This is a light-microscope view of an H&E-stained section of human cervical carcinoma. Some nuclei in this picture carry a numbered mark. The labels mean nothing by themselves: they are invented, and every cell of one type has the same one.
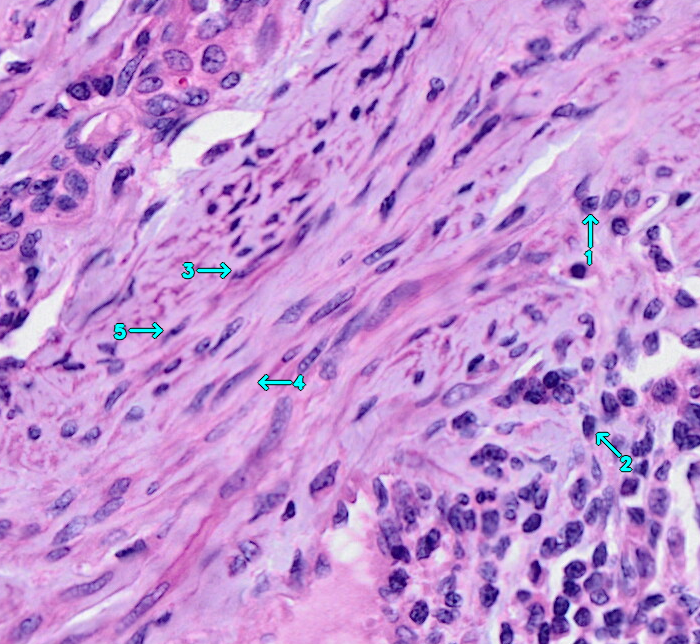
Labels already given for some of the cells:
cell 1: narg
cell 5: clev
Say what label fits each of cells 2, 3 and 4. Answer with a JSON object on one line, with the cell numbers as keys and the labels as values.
{"2": "narg", "3": "clev", "4": "clev"}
